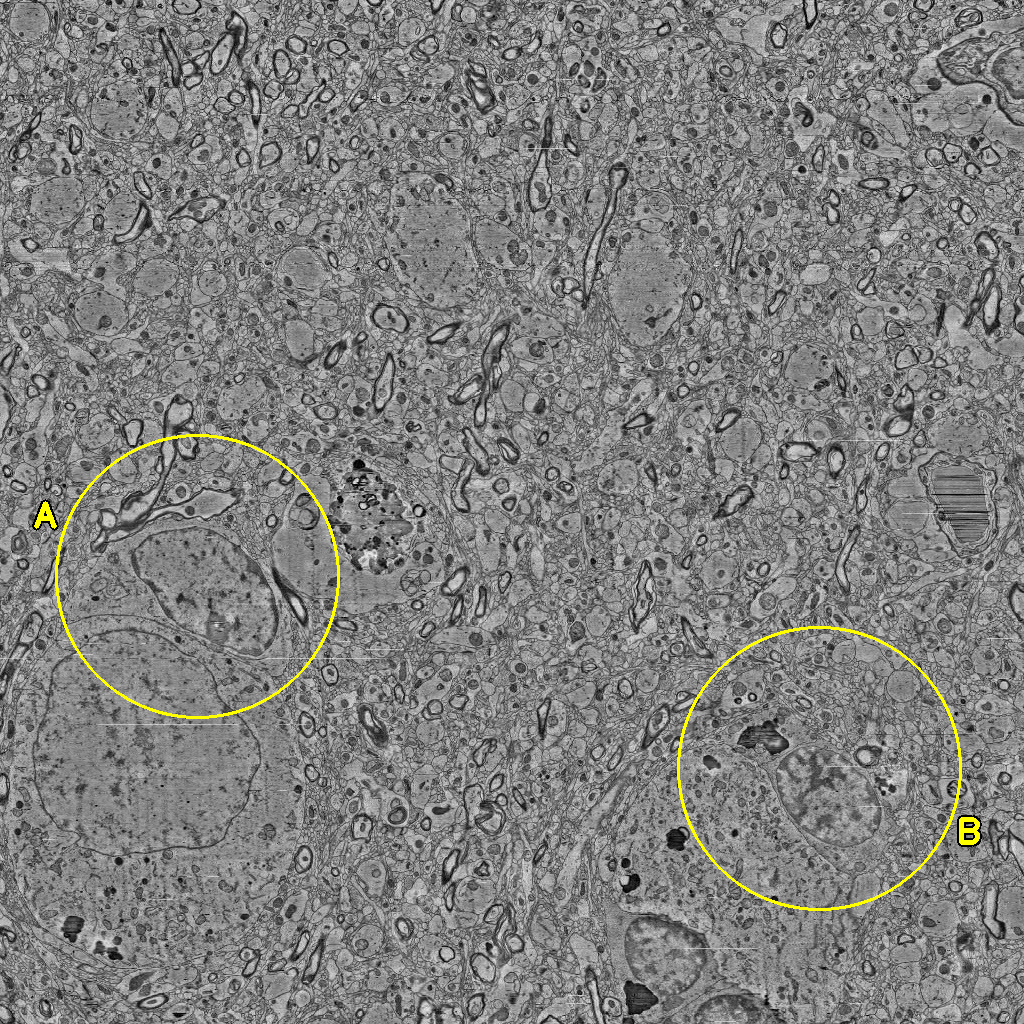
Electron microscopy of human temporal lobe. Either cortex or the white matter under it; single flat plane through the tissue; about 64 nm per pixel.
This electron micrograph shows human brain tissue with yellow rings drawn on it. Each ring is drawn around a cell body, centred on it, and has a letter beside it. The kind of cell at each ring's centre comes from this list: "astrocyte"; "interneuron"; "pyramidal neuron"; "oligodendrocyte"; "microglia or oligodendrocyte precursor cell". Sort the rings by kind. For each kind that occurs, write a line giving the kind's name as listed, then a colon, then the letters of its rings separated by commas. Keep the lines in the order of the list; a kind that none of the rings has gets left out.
oligodendrocyte: B
microglia or oligodendrocyte precursor cell: A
